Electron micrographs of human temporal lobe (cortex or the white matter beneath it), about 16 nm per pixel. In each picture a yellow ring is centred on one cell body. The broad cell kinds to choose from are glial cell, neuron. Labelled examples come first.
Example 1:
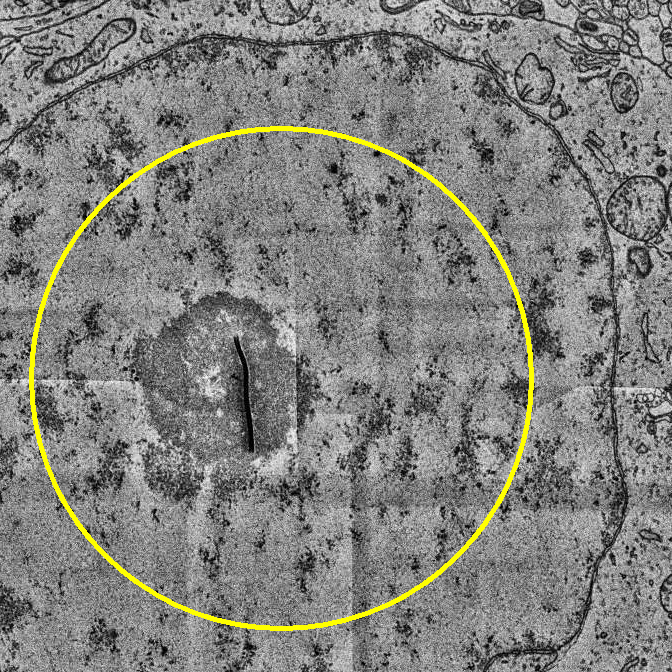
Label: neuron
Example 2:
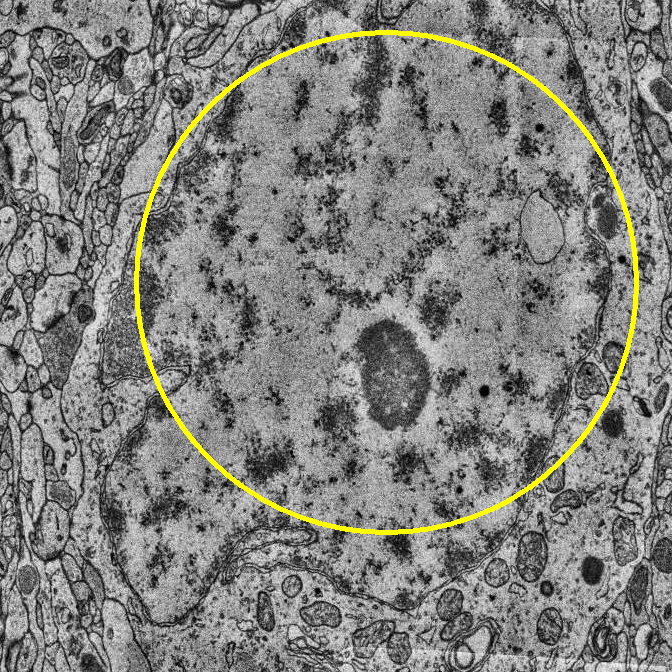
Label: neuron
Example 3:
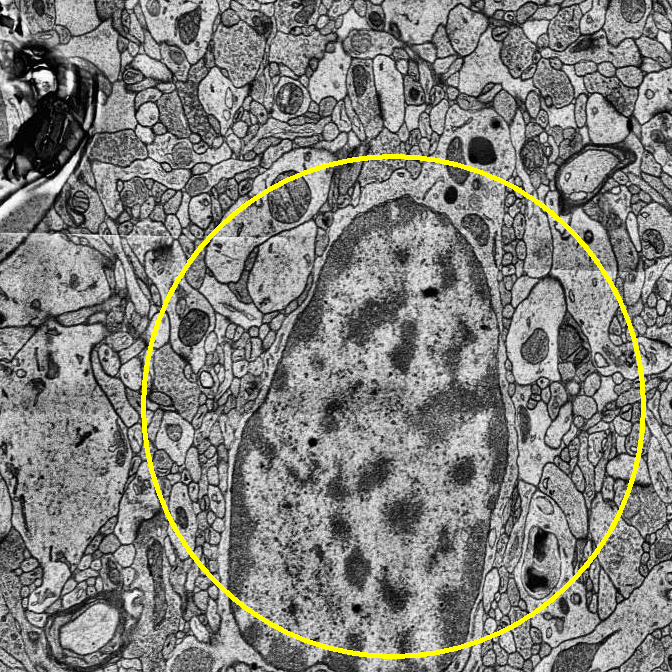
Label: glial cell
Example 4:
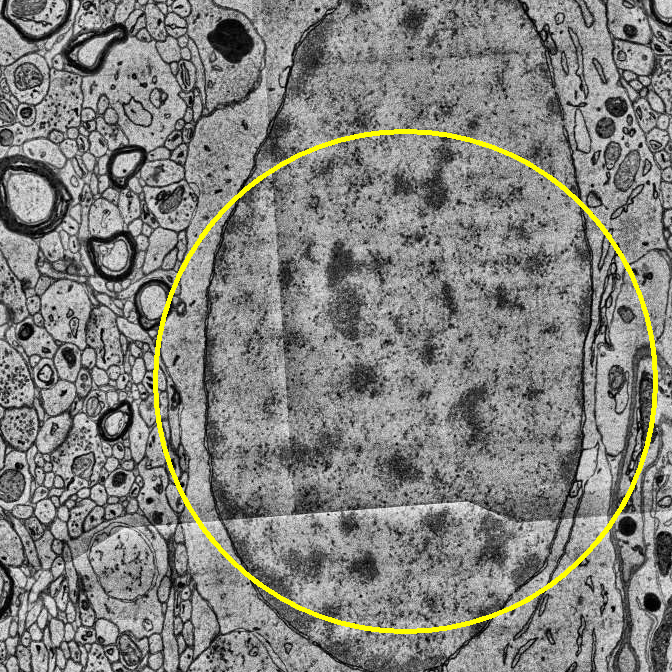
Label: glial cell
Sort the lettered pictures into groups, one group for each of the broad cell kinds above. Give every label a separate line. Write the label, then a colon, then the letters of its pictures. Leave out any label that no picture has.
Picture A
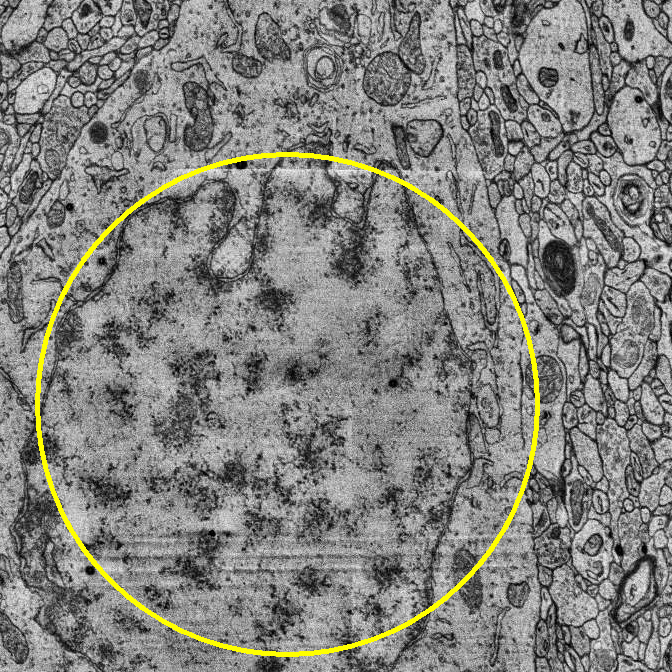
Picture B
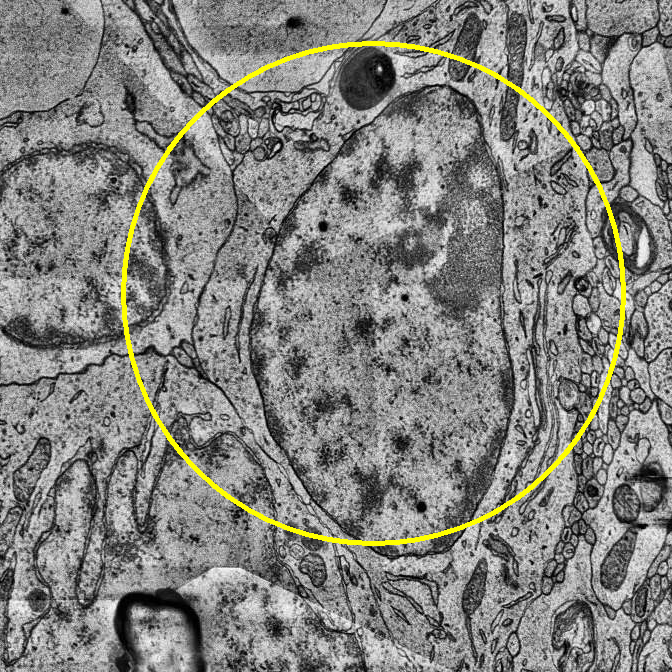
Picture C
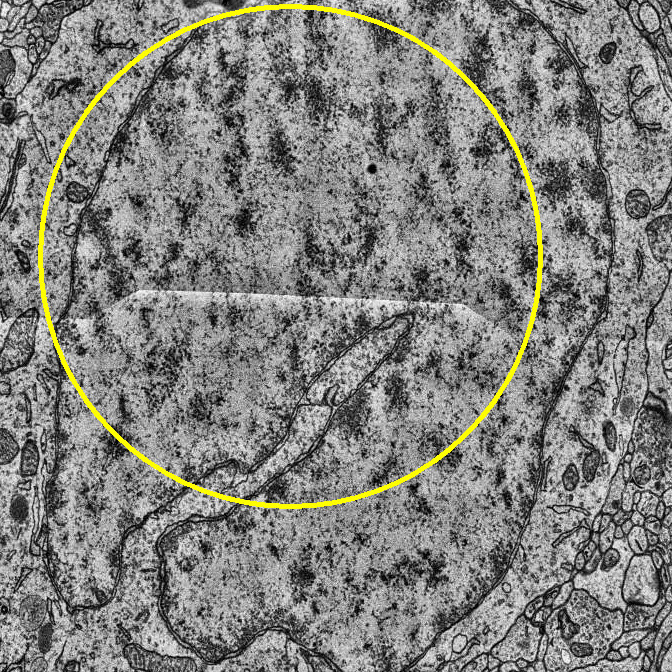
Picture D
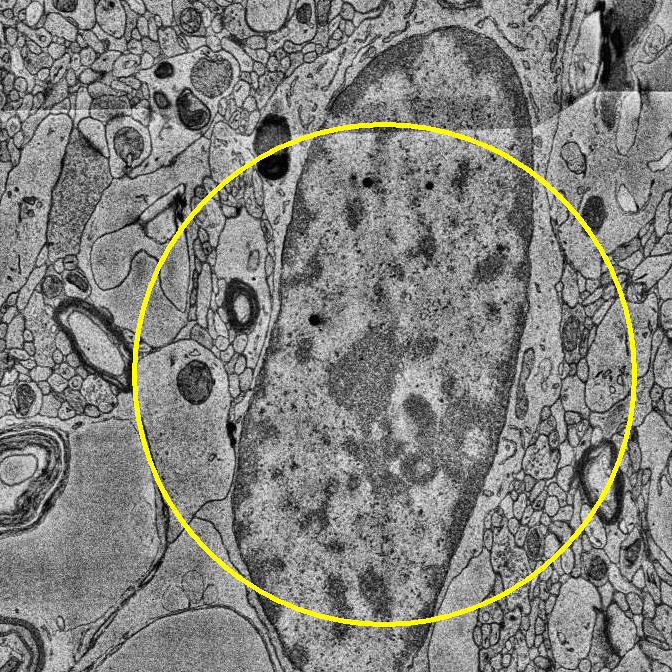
glial cell: B, D
neuron: A, C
